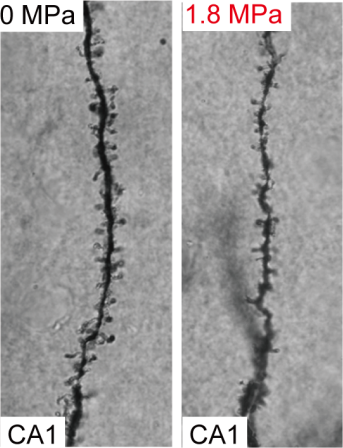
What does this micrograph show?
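Two strips each show a single black-impregnated, slightly wavy neuronal process on a grey background, its sides studded with many short stalked knobs. The right strip's process is thinner and carries fewer, smaller protrusions than the left. These are dendrites bearing dendritic spines.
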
